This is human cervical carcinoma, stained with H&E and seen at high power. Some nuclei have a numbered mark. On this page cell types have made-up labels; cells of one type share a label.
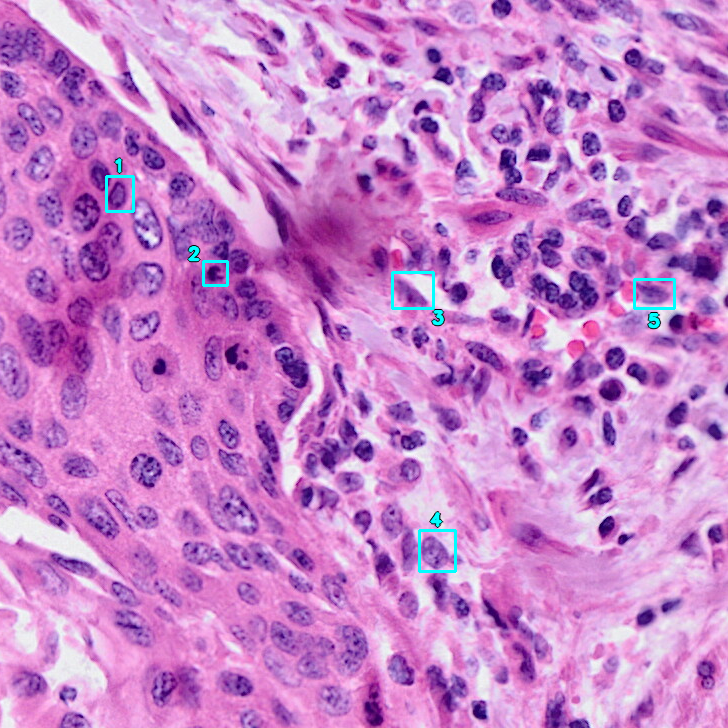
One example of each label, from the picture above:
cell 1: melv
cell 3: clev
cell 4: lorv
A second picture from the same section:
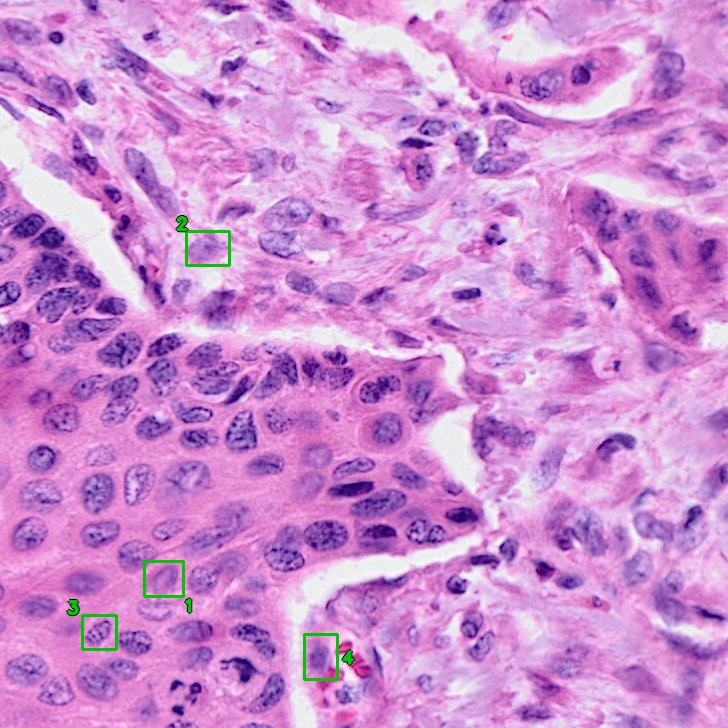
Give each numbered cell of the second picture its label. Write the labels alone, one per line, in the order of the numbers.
melv
lorv
melv
clev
